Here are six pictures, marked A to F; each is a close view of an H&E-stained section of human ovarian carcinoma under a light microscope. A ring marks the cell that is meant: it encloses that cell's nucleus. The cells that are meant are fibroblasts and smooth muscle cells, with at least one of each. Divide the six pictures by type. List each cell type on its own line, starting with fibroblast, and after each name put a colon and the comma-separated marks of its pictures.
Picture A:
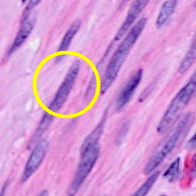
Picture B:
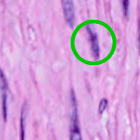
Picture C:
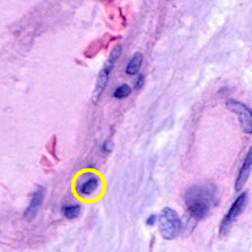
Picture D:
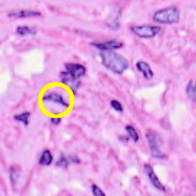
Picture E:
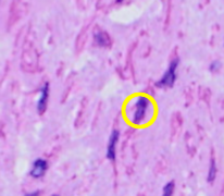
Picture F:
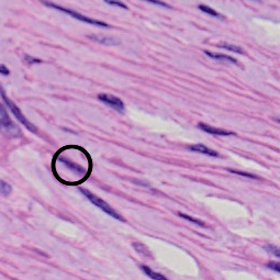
fibroblast: B, D, E, F
smooth muscle cell: A, C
